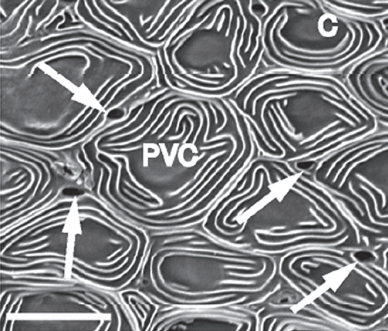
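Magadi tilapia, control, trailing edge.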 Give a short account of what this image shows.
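The surface of the gill filament epithelium is covered by polygonal pavement cells fitted closely against one another. Each pavement cell bears thin raised micro-ridges arranged in concentric loops around a flat, smooth central area. Small, deep, dark pits, the apical crypts of mitochondria-rich cells, open between the pavement cells at their junctions.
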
